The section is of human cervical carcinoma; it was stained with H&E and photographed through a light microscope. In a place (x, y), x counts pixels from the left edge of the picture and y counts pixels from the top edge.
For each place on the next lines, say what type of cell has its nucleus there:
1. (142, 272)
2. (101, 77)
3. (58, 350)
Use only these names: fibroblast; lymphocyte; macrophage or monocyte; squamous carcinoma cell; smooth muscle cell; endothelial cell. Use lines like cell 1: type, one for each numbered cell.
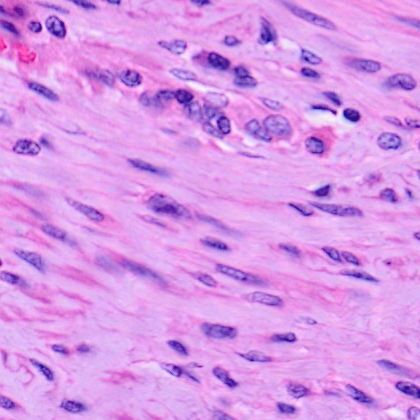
cell 1: smooth muscle cell
cell 2: endothelial cell
cell 3: smooth muscle cell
